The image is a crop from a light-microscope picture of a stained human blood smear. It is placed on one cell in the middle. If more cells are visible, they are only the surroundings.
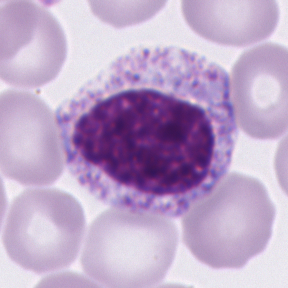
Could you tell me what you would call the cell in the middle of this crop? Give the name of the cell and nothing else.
myelocyte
